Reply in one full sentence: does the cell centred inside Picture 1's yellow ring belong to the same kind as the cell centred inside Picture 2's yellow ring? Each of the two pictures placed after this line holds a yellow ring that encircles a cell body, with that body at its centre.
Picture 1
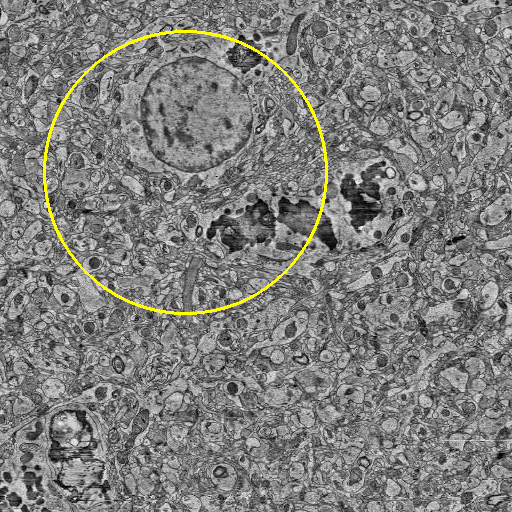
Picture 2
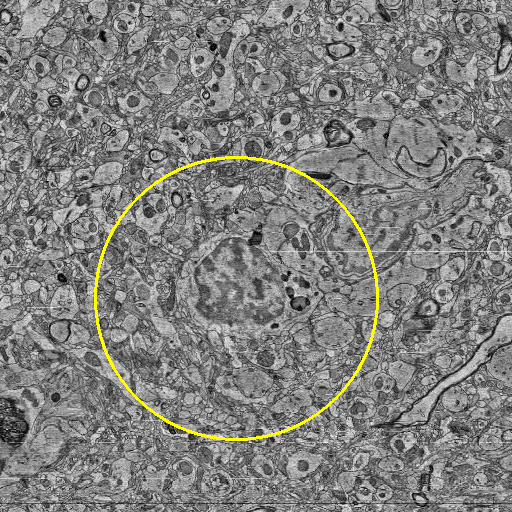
No, the ring-centred cells in Picture 1 and Picture 2 are of two separate kinds.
